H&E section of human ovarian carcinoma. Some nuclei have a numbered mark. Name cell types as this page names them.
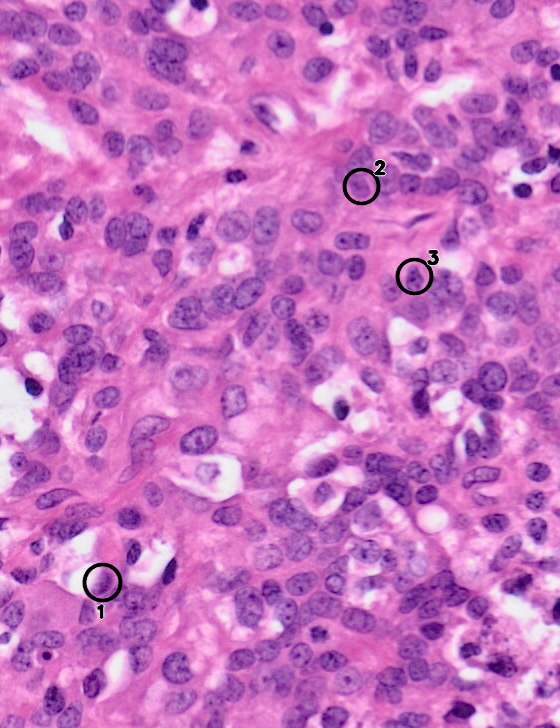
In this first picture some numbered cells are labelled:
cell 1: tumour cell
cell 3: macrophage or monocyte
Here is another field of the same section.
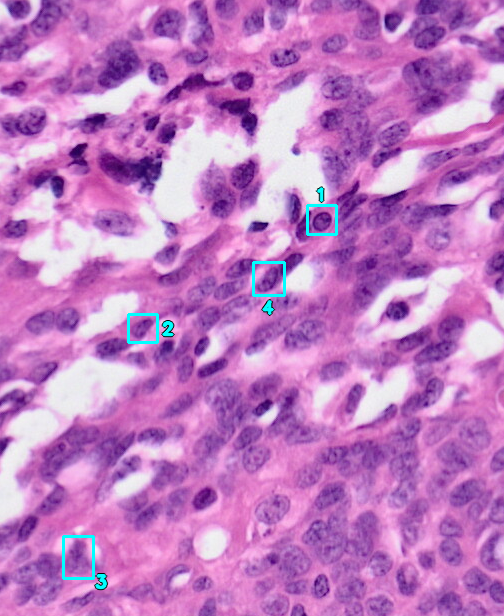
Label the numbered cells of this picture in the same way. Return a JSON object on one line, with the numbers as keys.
{"1": "macrophage or monocyte", "2": "macrophage or monocyte", "3": "tumour cell", "4": "tumour cell"}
